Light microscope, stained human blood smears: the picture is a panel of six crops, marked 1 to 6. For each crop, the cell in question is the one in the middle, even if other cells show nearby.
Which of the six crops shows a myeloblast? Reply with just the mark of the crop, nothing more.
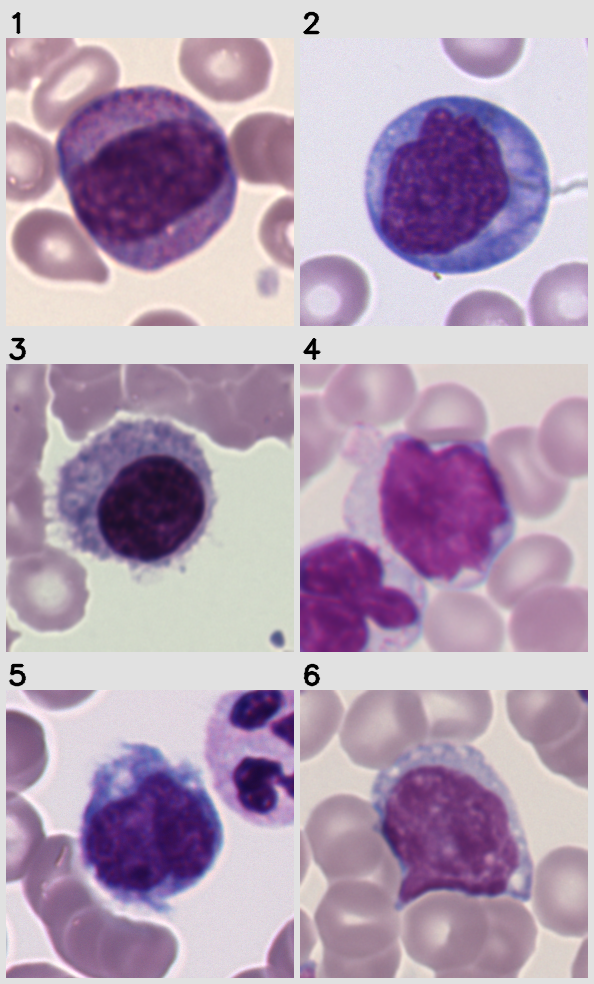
2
